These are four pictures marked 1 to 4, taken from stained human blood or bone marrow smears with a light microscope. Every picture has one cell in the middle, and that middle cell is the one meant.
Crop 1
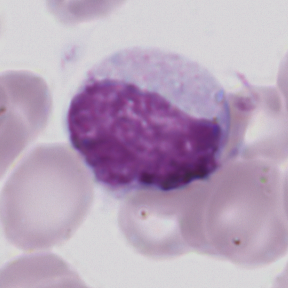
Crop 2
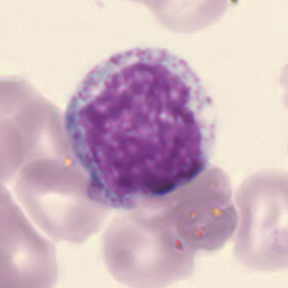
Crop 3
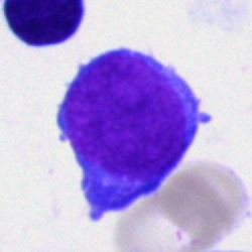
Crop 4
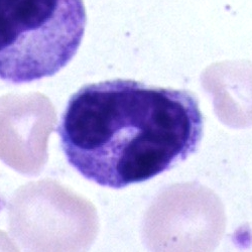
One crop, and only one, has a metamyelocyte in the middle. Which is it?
1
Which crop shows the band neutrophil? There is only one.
4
